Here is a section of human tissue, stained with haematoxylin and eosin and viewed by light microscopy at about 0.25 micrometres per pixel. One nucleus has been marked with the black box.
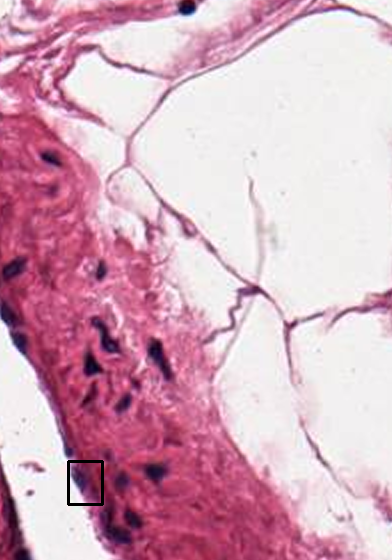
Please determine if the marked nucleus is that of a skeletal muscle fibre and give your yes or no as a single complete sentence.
No, the marked nucleus is not part of a skeletal muscle fibre and instead belongs to a supporting cell.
